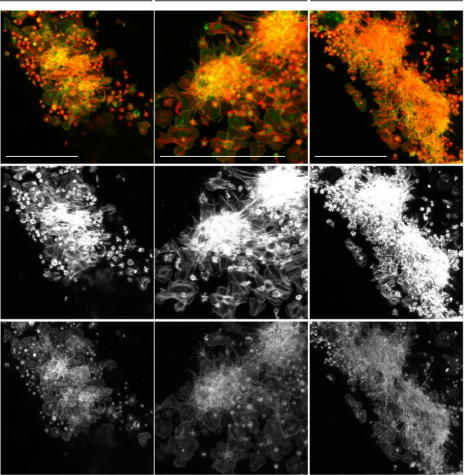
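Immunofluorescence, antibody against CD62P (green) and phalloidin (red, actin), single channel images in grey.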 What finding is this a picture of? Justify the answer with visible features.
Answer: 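Dense clumps of many overlapping small cells. Scattered single small cells around the clumps.
Answer: Micro-thrombotic events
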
